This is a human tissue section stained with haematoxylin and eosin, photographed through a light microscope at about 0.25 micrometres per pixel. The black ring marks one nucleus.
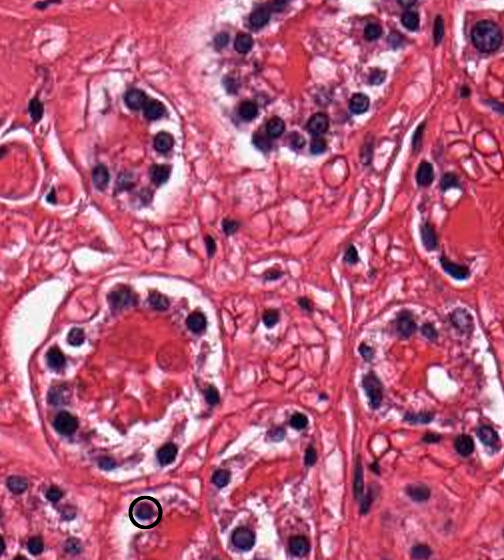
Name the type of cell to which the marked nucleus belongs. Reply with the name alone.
thyroid follicular cell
